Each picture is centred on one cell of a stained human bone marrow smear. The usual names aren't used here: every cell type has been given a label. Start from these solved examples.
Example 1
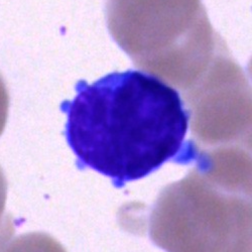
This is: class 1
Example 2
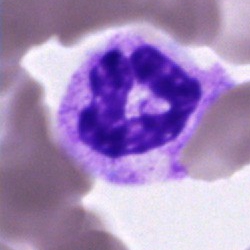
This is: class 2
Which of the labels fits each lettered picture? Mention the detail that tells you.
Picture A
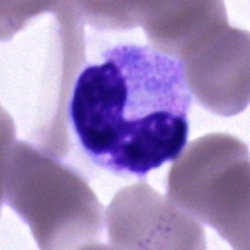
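class 2. Reason: The nucleus is a thick curved band shaped like a letter C that opens toward the upper right.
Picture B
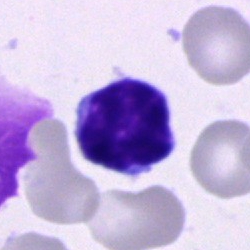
class 1. Reason: The nucleus fills almost the whole cell.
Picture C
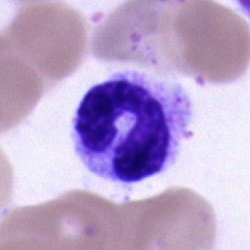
class 2. Reason: The nucleus is a thick curved band bent into a nearly closed ring around a small pale central hole.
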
